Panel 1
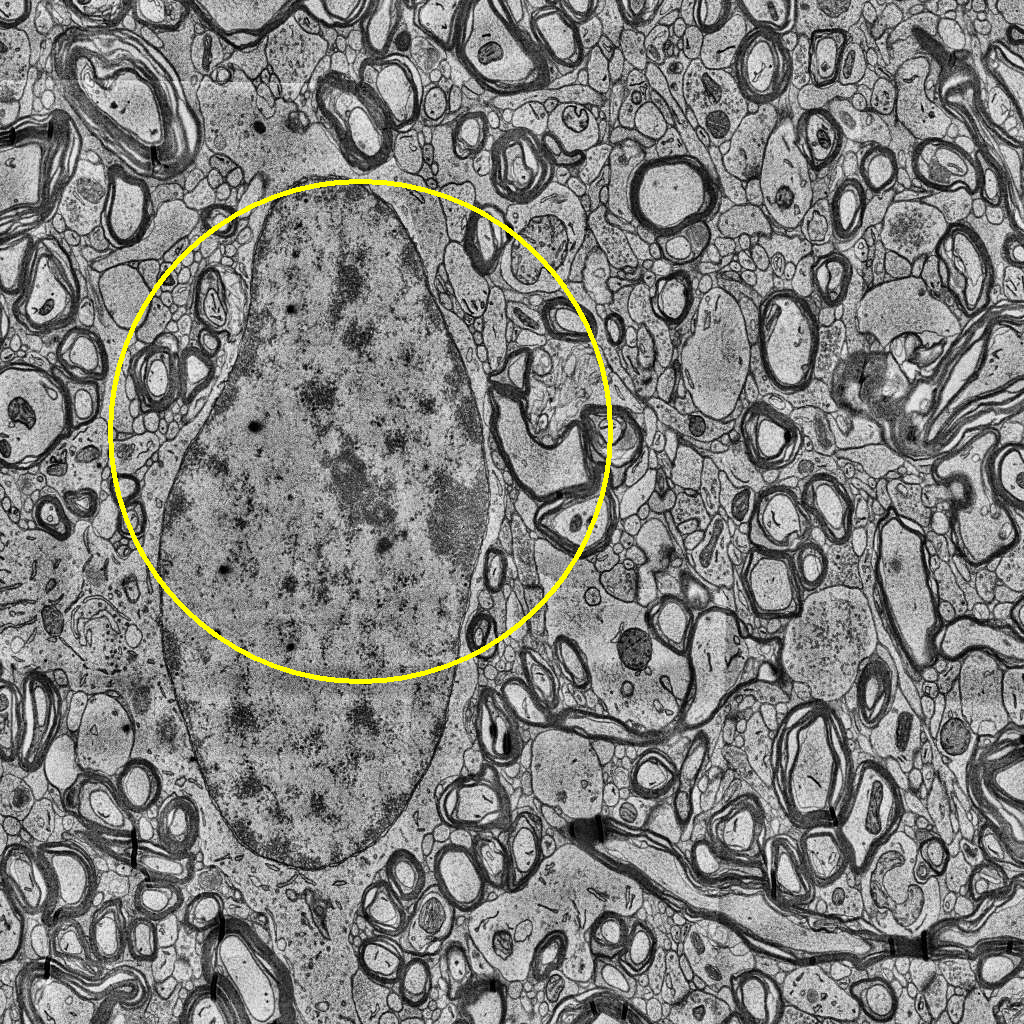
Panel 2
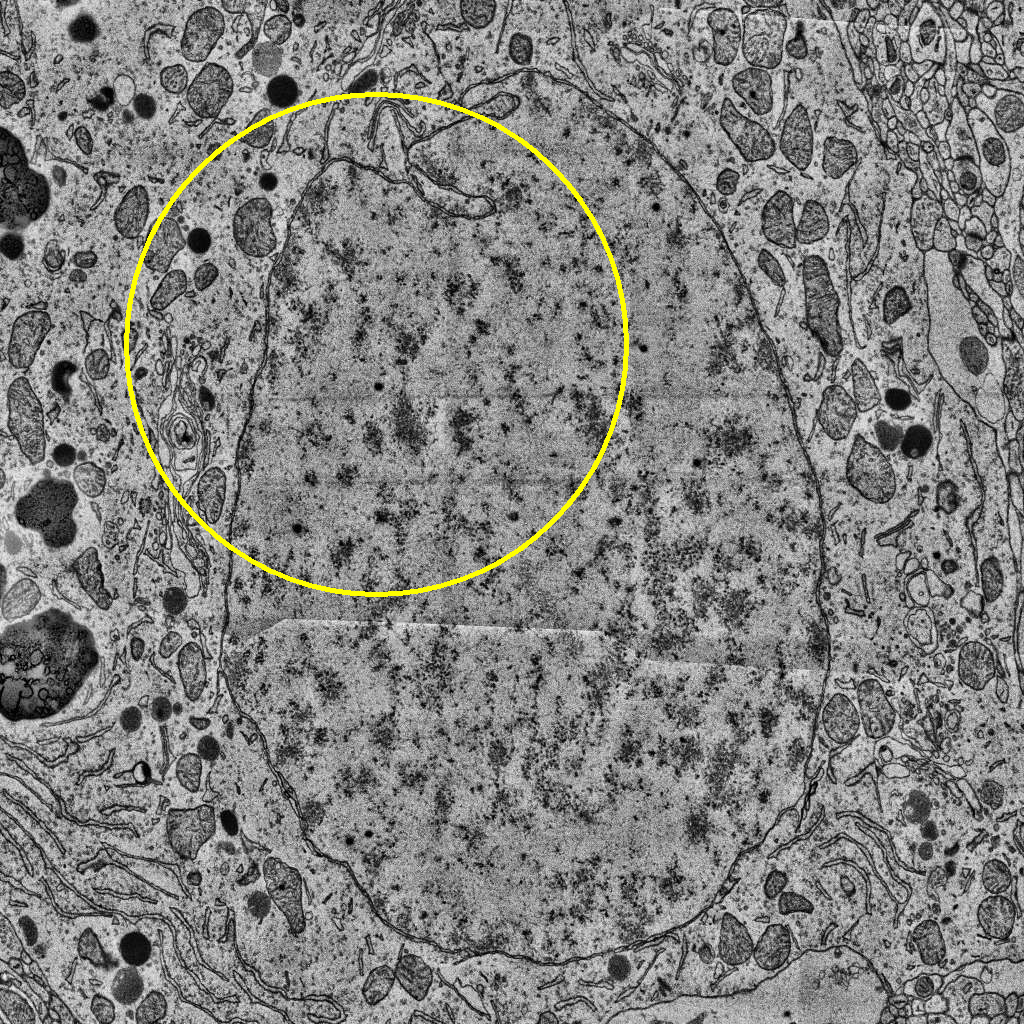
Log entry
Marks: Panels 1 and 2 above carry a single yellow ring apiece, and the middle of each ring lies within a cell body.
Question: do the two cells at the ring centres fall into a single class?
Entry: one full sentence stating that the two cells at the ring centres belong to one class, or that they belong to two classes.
The two cells at the ring centres in Panels 1 and 2 belong to two classes.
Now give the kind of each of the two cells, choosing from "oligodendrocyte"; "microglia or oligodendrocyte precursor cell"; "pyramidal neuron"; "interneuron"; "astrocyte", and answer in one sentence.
The two differ: the first cell is a microglial cell or oligodendrocyte precursor cell and the second is an interneuron.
